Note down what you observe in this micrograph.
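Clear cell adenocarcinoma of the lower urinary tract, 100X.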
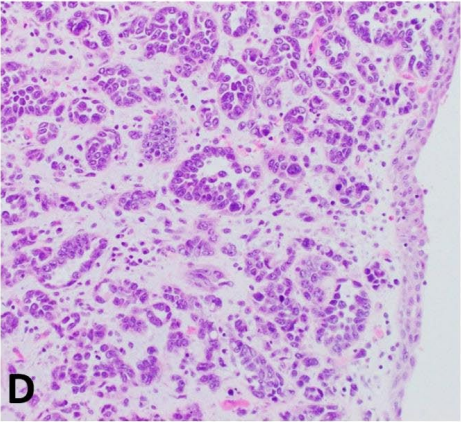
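This field shows many small tubules and tight nests of tumor cells scattered through a loose, pale, edematous stroma. The tubules are lined by cuboidal cells with dark, rounded nuclei, and some have small open lumens while others are nearly solid. The arrangement of small tubules in loose stroma resembles a benign tubular lesion at first glance. Along one edge, a smooth surface lining borders the tissue. Under closer view the nuclei are crowded and enlarged rather than bland.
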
